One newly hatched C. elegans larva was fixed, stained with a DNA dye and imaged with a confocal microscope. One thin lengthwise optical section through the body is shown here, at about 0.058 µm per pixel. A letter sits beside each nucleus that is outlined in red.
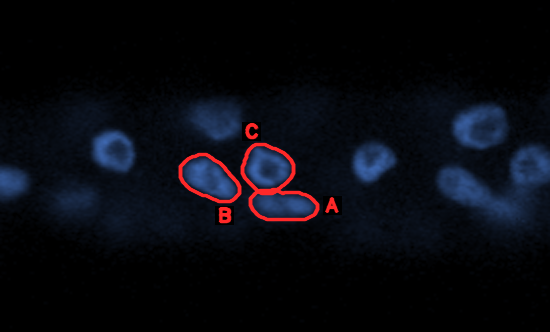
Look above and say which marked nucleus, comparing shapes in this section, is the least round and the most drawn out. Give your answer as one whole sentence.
Of the marked nuclei, A is the most stretched out.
